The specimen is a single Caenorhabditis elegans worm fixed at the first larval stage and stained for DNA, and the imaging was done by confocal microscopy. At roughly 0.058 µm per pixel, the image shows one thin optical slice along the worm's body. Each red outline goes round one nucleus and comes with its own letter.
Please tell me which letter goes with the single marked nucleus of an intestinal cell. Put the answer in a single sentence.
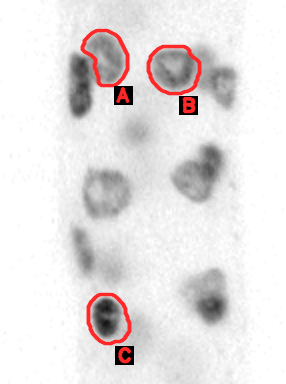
A is the one that belongs to an intestinal cell.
